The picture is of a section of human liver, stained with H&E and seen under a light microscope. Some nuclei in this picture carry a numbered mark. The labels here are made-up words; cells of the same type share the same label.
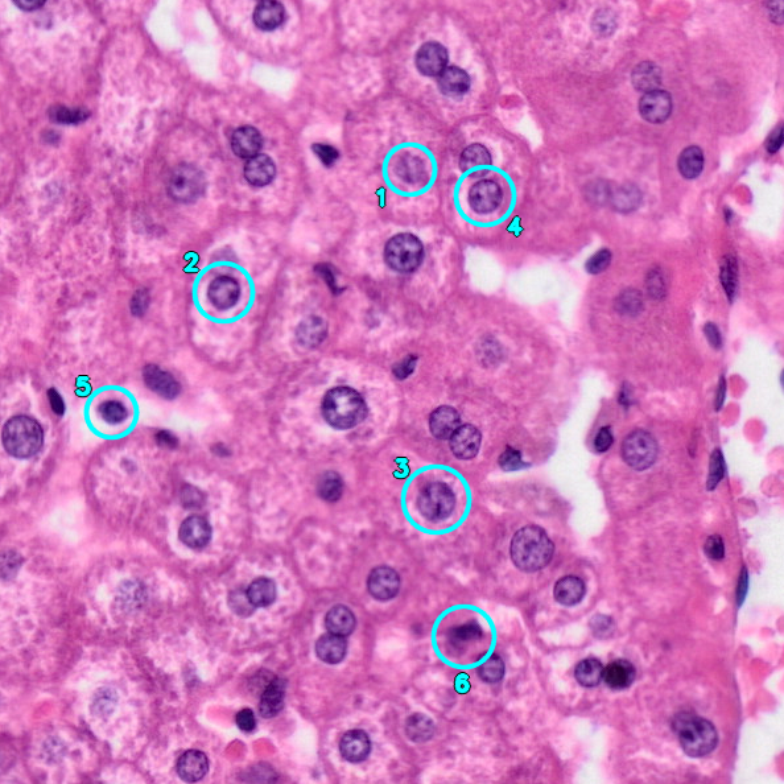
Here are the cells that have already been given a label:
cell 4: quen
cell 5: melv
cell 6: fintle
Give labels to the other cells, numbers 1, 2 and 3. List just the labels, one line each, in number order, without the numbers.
quen
quen
quen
